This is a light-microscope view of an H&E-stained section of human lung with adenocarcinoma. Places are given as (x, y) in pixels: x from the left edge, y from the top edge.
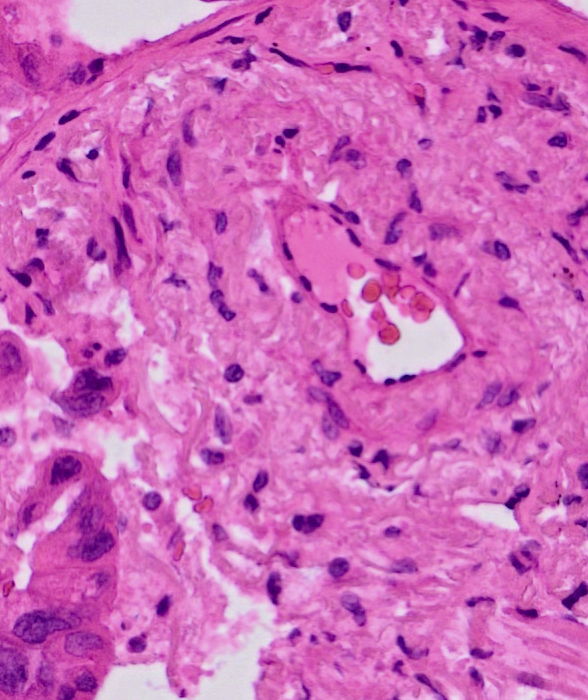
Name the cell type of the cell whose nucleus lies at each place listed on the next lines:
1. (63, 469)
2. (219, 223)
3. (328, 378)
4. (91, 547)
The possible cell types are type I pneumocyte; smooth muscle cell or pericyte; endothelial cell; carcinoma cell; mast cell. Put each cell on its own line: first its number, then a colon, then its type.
1: carcinoma cell
2: smooth muscle cell or pericyte
3: smooth muscle cell or pericyte
4: carcinoma cell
